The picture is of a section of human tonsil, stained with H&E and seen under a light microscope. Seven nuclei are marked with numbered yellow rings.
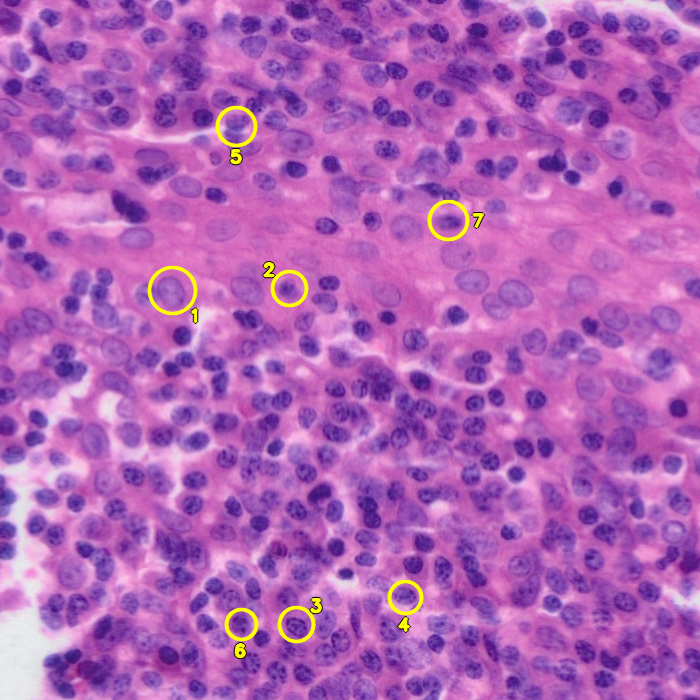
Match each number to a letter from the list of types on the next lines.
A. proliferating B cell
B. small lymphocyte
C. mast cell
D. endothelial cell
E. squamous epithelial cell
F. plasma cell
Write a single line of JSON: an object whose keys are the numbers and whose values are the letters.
{"1": "E", "2": "E", "3": "F", "4": "F", "5": "E", "6": "F", "7": "E"}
